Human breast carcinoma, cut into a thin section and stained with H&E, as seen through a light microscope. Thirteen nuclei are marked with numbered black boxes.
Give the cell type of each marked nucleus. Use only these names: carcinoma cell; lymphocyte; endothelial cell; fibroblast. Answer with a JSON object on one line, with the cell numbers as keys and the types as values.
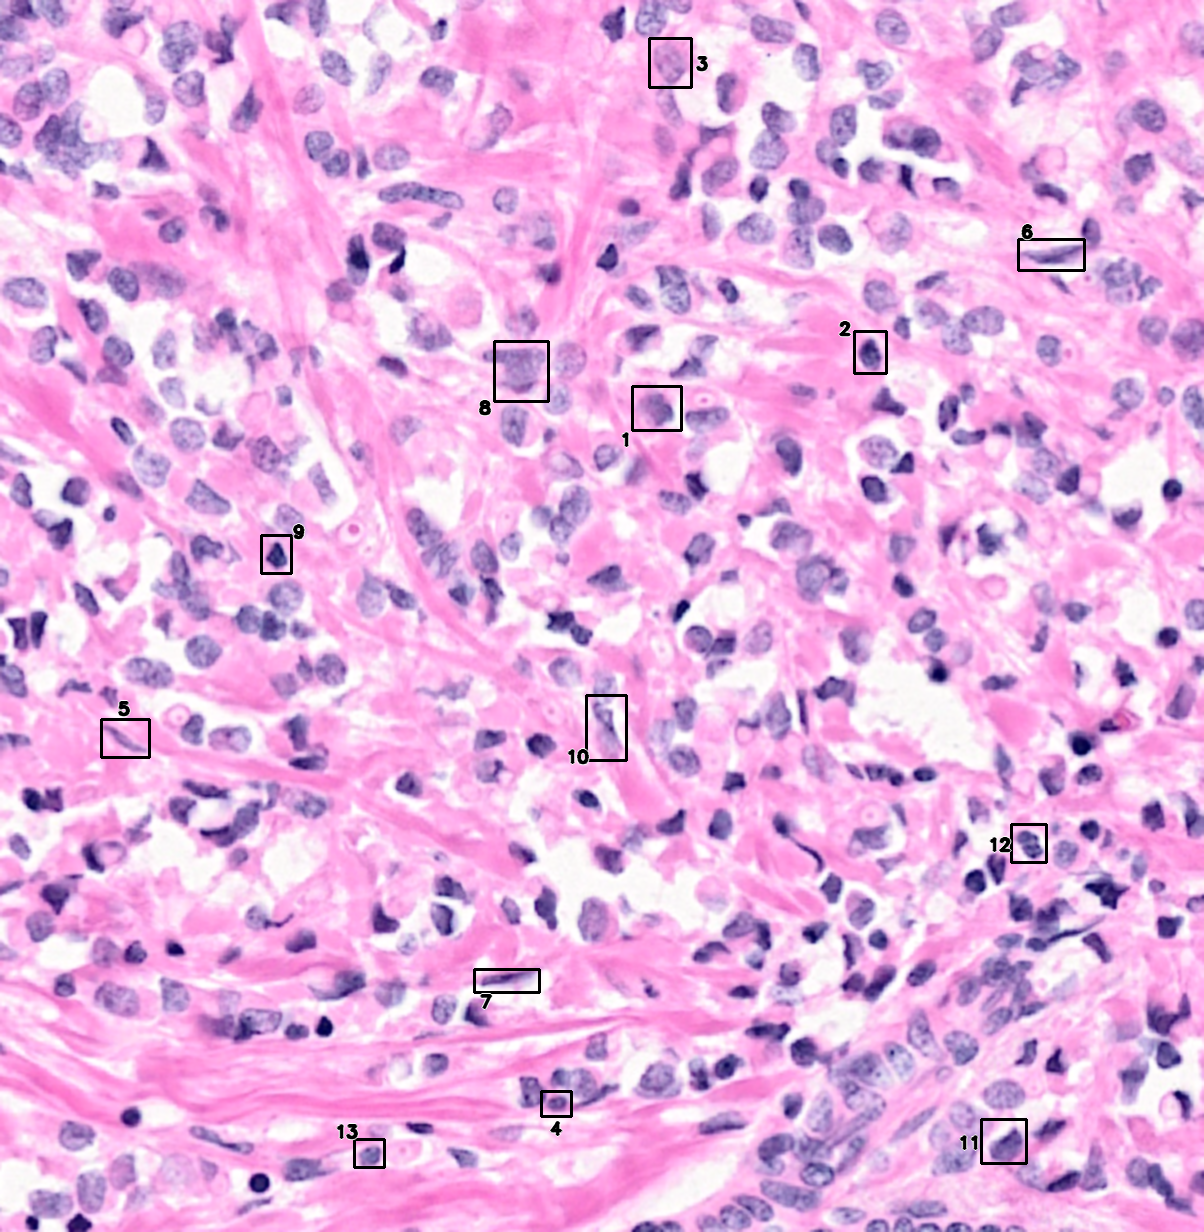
{"1": "carcinoma cell", "2": "lymphocyte", "3": "carcinoma cell", "4": "lymphocyte", "5": "fibroblast", "6": "fibroblast", "7": "fibroblast", "8": "carcinoma cell", "9": "lymphocyte", "10": "fibroblast", "11": "carcinoma cell", "12": "lymphocyte", "13": "lymphocyte"}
